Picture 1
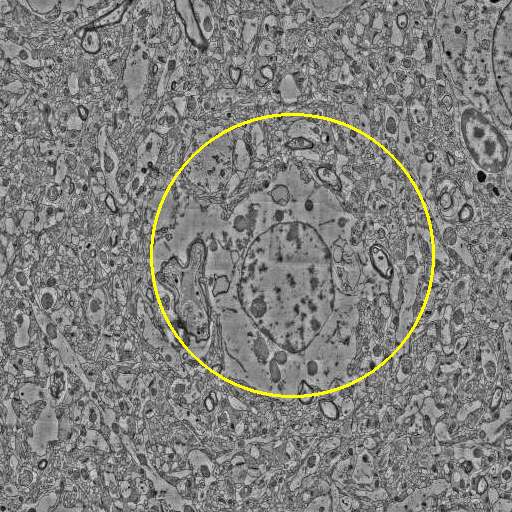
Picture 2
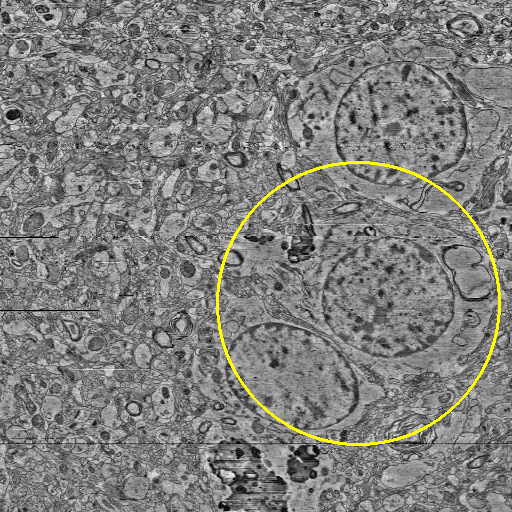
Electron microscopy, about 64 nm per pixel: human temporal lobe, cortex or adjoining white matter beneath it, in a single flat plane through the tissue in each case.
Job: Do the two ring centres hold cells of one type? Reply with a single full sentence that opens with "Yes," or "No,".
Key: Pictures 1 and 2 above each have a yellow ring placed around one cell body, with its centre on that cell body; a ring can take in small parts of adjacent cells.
Yes, the cells at the two ring centres are of one single type.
